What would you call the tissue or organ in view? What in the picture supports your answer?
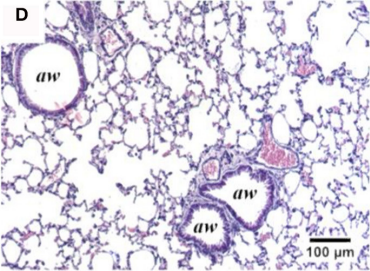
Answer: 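Many thin-walled open alveolar spaces. Tubular airways lined by epithelium with nearby vessels.
Answer: lung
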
